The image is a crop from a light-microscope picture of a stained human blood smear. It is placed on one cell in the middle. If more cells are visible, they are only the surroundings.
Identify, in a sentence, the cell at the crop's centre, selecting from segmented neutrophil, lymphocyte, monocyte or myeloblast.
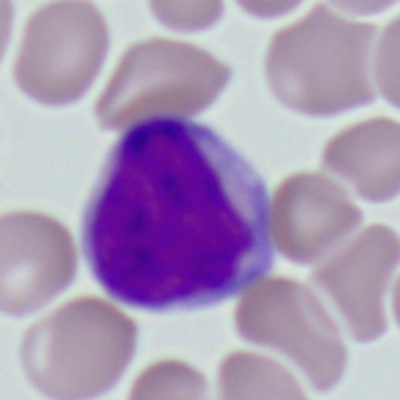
The cell sitting right in the middle is a myeloblast.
